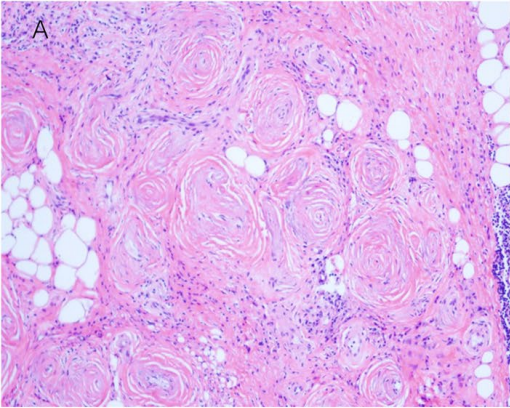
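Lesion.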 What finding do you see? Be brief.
scallion skin–like fibrotic changes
